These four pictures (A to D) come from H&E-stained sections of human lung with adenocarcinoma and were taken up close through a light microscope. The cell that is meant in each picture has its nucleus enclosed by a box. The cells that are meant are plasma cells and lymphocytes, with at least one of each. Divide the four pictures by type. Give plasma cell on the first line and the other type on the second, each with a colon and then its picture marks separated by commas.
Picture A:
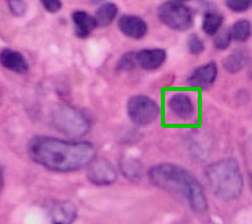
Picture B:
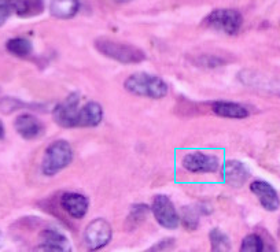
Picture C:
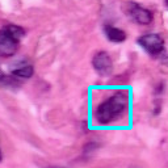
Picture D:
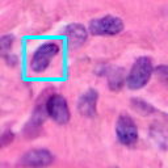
plasma cell: C
lymphocyte: A, B, D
